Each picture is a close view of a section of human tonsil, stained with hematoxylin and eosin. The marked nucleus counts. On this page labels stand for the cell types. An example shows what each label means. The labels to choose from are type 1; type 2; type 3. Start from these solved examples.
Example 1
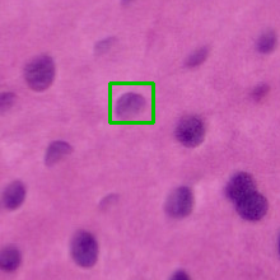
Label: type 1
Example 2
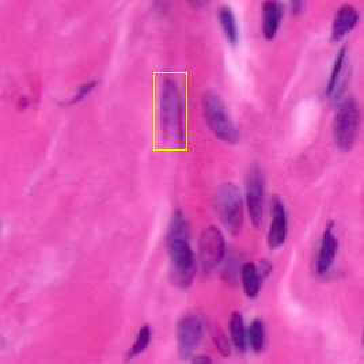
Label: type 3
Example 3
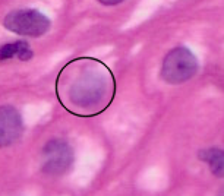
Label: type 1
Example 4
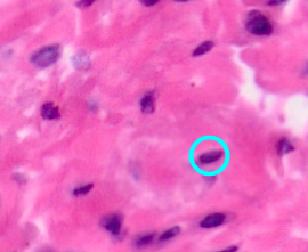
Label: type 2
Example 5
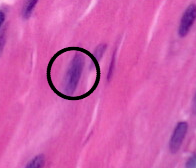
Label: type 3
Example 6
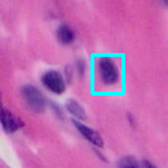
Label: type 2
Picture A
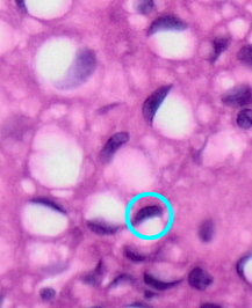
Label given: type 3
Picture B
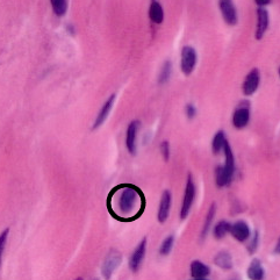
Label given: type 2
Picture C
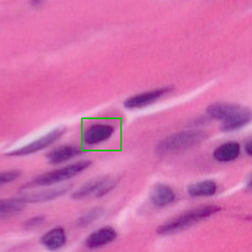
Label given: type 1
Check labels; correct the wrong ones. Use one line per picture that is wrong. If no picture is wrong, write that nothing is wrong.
A should be type 1, not type 3
C should be type 2, not type 1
